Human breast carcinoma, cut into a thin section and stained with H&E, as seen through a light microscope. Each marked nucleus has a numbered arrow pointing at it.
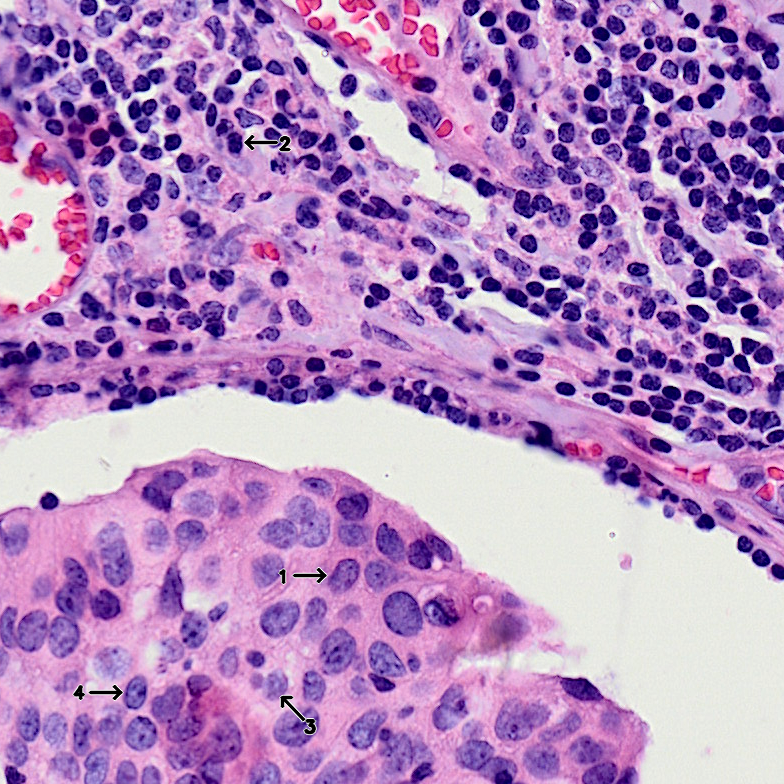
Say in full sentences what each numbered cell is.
Cells 1, 3 and 4 are carcinoma cells. Cell 2 is a lymphocyte.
